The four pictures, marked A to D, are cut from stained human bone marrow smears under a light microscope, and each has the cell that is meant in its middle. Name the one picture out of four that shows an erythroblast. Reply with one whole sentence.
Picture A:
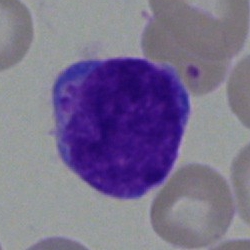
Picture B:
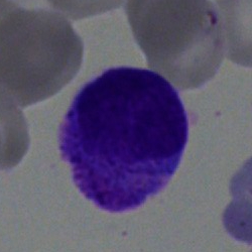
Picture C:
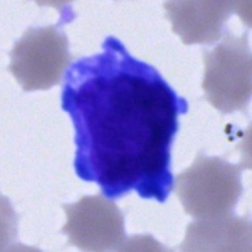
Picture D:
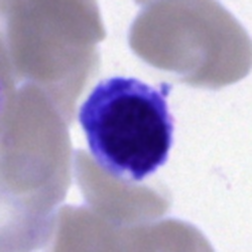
The erythroblast is the one in picture D.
